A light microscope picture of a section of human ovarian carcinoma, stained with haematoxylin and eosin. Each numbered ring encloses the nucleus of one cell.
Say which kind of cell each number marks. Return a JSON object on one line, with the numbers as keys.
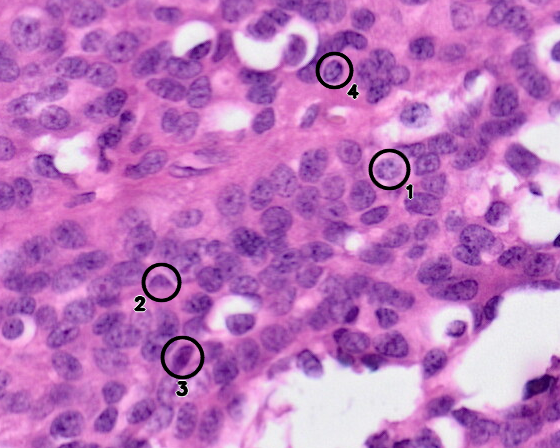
{"1": "macrophage or monocyte", "2": "carcinoma cell", "3": "carcinoma cell", "4": "macrophage or monocyte"}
